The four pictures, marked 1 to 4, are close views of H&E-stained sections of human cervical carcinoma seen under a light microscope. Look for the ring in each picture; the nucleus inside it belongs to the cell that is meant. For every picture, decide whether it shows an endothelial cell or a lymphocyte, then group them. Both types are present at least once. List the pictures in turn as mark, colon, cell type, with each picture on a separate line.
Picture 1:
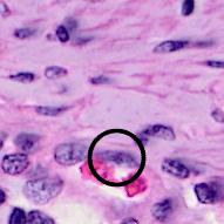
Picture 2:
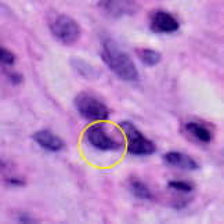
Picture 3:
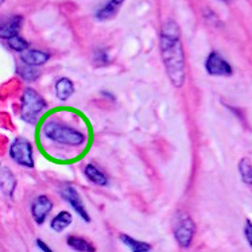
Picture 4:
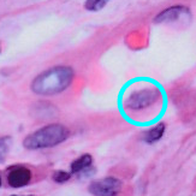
1: endothelial cell
2: lymphocyte
3: endothelial cell
4: endothelial cell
